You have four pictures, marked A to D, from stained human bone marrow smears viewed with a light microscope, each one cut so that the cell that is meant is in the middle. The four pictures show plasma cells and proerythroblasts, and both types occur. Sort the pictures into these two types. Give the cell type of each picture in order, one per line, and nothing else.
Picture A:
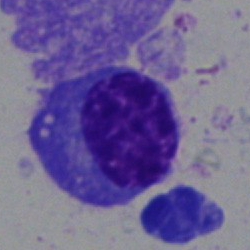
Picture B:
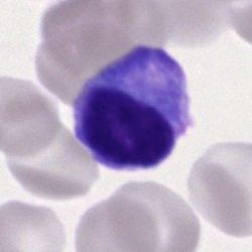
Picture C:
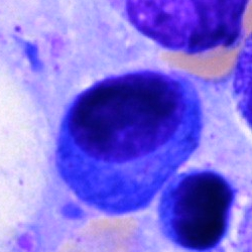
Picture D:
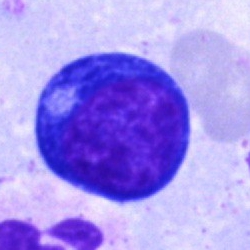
plasma cell
plasma cell
plasma cell
proerythroblast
